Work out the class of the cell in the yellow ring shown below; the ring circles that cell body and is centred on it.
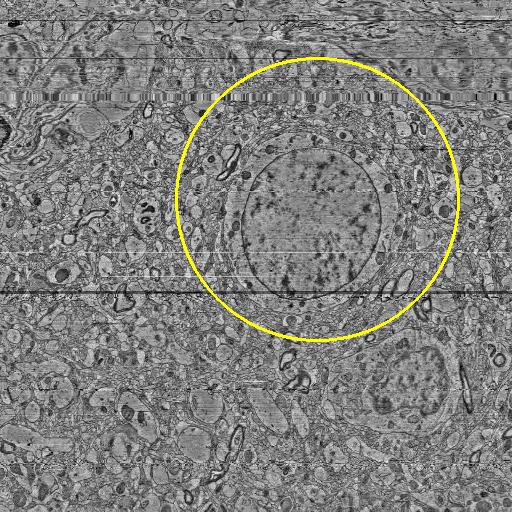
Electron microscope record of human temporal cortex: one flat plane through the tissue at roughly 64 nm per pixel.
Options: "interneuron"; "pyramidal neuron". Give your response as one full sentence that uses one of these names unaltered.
The body ringed in yellow, right at the ring's centre, is that of a pyramidal neuron.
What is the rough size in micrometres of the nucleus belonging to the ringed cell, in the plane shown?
Roughly 9 micrometres across for the nucleus, in this plane.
